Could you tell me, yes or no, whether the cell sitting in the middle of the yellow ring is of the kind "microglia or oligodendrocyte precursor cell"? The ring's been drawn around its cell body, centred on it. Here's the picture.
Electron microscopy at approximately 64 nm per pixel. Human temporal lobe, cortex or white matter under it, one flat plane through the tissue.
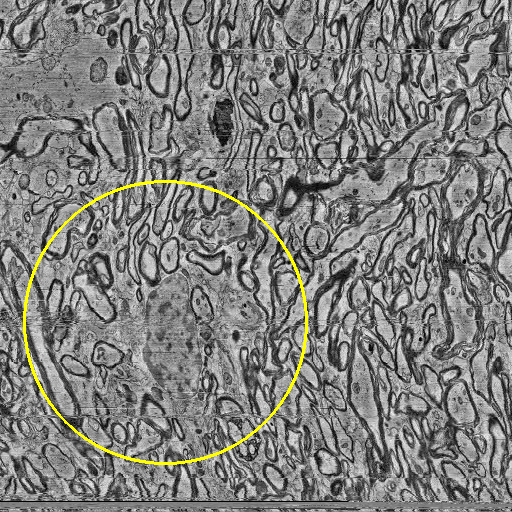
Yes, it is.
